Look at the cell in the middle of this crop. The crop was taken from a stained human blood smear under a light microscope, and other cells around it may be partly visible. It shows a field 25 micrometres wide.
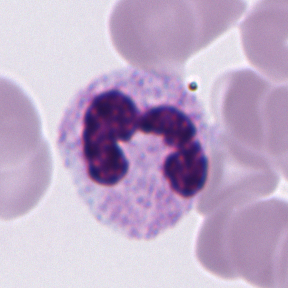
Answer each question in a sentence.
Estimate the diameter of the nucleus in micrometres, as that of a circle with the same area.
It measures about 8 micrometres across.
